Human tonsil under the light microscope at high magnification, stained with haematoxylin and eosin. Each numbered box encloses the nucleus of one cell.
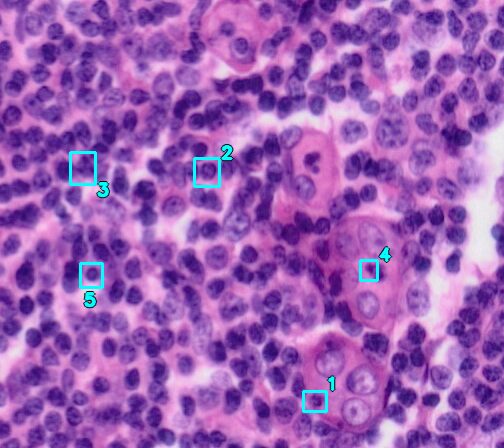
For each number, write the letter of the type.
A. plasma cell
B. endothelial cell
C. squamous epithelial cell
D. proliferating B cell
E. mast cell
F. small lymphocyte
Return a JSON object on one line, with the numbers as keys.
{"1": "B", "2": "F", "3": "F", "4": "B", "5": "F"}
